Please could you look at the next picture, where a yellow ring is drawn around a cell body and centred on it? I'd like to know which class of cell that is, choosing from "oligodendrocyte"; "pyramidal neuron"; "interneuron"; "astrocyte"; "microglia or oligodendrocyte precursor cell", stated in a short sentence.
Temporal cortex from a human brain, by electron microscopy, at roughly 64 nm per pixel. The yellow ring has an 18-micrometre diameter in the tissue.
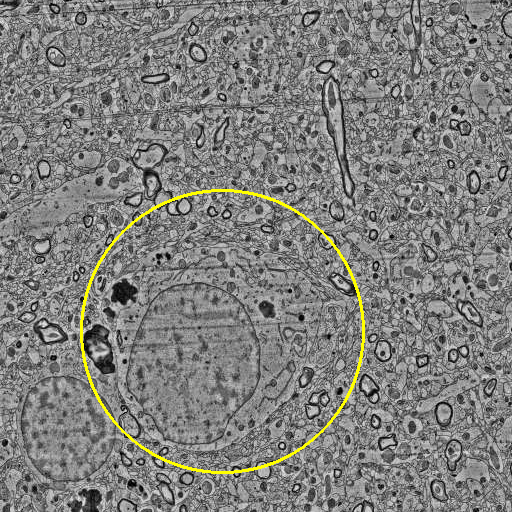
The ring's centre lies on a pyramidal neuron.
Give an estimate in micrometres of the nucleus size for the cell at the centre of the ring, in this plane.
In this plane the nucleus is about 10 micrometres by 8.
